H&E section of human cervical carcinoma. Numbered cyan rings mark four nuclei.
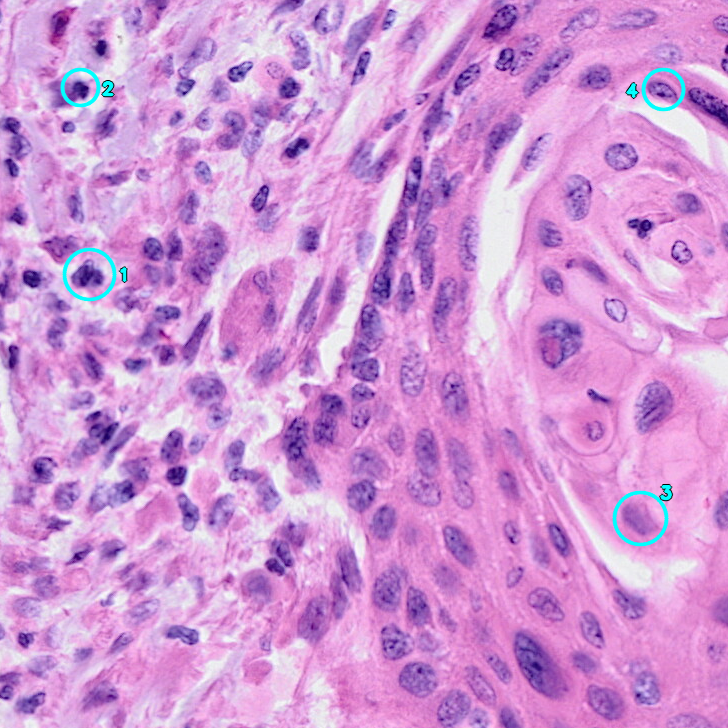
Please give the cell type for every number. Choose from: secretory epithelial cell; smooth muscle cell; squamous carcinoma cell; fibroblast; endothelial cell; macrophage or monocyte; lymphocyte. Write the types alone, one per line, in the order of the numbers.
lymphocyte
lymphocyte
squamous carcinoma cell
squamous carcinoma cell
